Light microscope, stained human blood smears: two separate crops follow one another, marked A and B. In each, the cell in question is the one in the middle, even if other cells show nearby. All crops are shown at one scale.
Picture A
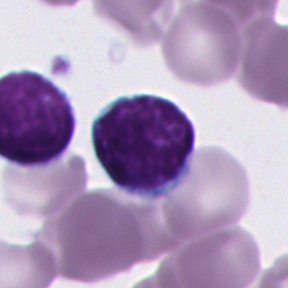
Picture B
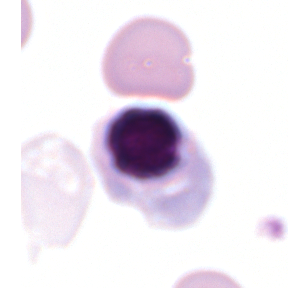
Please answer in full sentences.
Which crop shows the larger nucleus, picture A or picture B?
Larger is the nucleus in picture A, at roughly 2 times the area of the other.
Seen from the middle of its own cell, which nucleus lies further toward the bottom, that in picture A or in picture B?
The nucleus in picture A lies further toward the bottom of its cell.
